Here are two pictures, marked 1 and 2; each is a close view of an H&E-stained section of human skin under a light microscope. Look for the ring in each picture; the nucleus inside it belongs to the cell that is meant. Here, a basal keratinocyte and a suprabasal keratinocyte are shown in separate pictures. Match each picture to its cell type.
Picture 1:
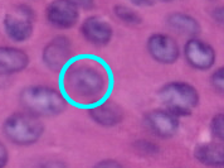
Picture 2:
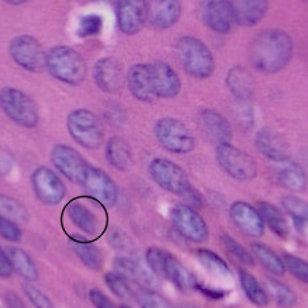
1: suprabasal keratinocyte
2: basal keratinocyte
